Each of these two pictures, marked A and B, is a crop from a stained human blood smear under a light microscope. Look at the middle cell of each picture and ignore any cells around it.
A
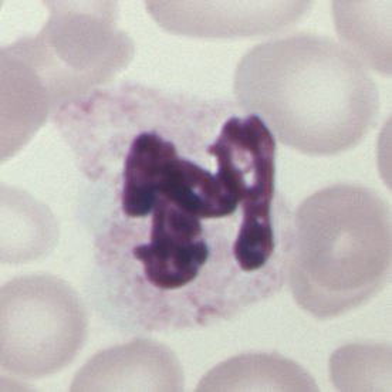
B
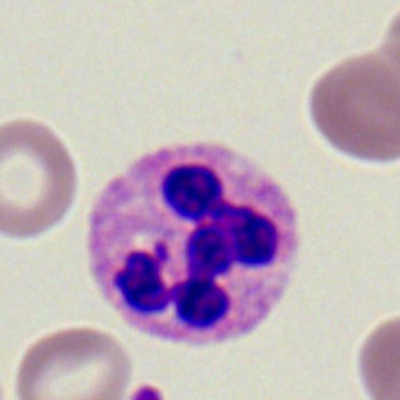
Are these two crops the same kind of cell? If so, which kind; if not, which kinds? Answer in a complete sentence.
Yes, neutrophils are at the centre in both crops.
